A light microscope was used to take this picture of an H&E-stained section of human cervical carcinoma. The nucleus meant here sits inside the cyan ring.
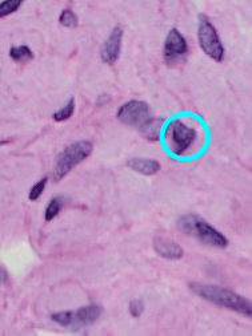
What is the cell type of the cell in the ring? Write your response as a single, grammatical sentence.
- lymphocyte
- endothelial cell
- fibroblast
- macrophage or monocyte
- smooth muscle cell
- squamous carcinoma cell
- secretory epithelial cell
With respect to cell type, the cell in the ring is a fibroblast.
